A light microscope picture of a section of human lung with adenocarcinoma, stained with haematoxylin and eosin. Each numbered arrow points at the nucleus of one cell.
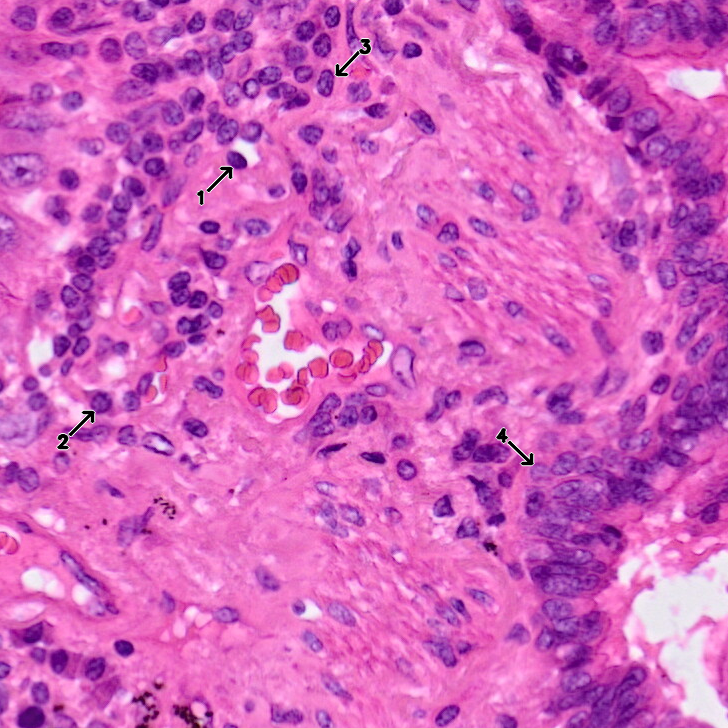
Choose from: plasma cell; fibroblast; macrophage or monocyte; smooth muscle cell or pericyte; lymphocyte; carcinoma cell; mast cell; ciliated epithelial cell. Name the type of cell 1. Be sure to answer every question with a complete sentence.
The cell tagged with 1 in this tissue section is a lymphocyte.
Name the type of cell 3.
Here the cell numbered 3 is a lymphocyte.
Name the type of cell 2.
The cell pointed out by number 2 is a plasma cell.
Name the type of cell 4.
In the tissue shown, cell 4 is a ciliated epithelial cell.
